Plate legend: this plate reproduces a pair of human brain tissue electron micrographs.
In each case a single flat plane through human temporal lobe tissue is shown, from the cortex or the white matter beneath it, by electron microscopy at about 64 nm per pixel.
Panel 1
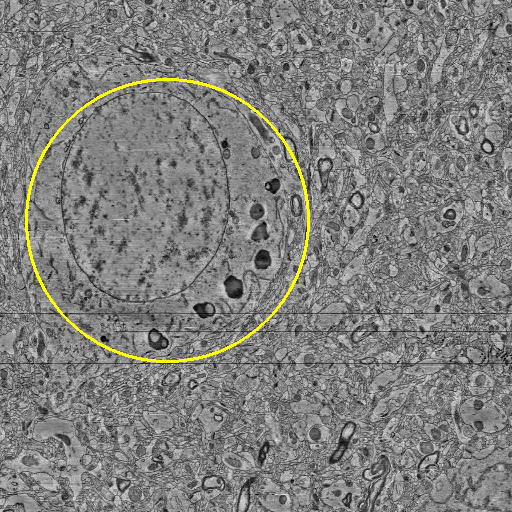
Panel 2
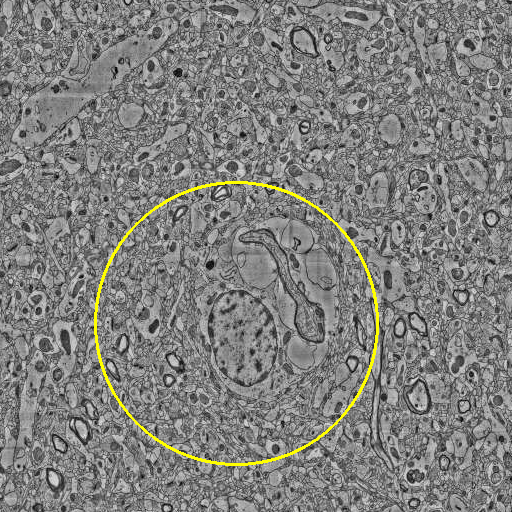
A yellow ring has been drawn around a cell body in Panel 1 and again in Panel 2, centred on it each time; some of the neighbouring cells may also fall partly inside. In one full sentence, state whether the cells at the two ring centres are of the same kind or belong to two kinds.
The ring-centred cells of Panel 1 and Panel 2 belong to two kinds.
